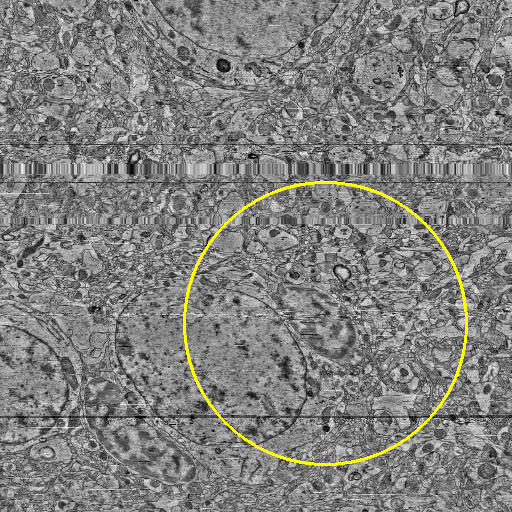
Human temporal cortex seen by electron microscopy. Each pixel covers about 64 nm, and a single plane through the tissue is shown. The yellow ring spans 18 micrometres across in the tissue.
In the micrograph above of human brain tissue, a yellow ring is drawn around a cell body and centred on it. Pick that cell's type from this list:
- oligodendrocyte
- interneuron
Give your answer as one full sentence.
Going by the list, an oligodendrocyte is the cell on which the yellow ring is centred.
